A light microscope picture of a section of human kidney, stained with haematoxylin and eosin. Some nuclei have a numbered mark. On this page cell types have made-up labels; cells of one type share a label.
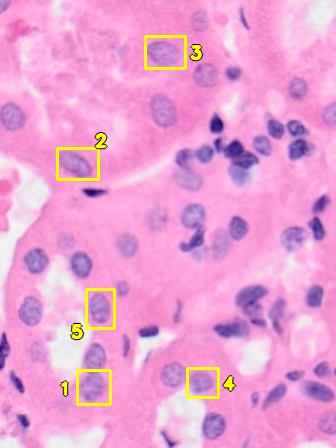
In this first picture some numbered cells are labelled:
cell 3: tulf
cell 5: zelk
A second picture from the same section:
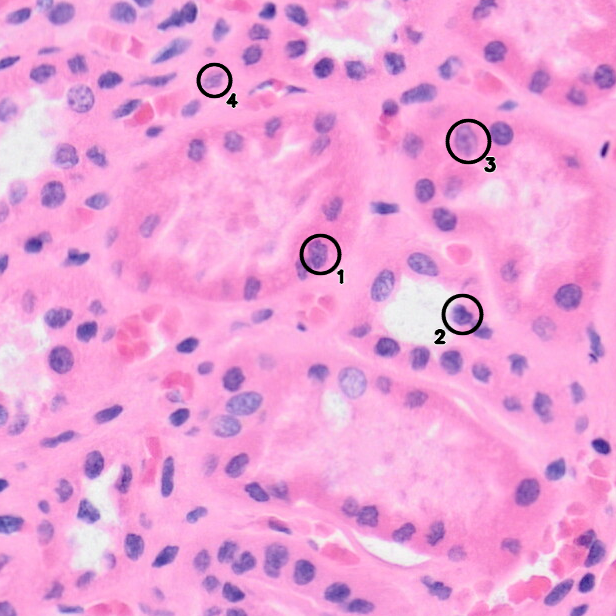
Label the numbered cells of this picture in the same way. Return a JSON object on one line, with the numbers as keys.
{"1": "tulf", "2": "zelk", "3": "tulf", "4": "zelk"}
